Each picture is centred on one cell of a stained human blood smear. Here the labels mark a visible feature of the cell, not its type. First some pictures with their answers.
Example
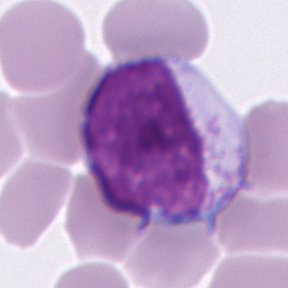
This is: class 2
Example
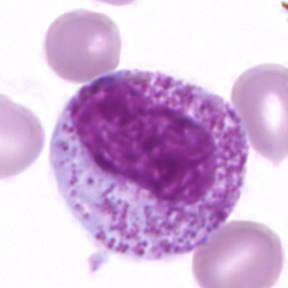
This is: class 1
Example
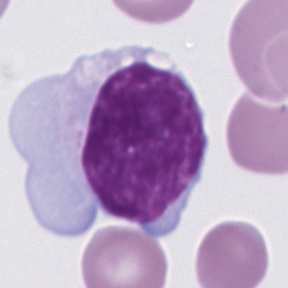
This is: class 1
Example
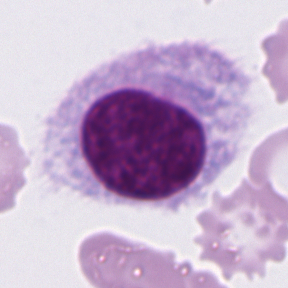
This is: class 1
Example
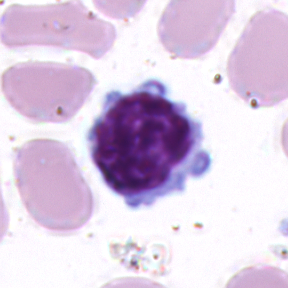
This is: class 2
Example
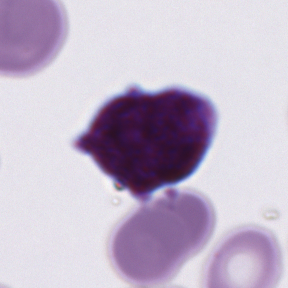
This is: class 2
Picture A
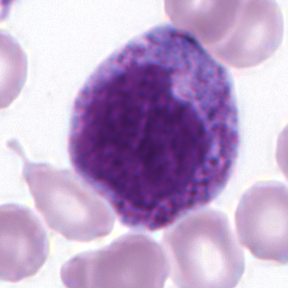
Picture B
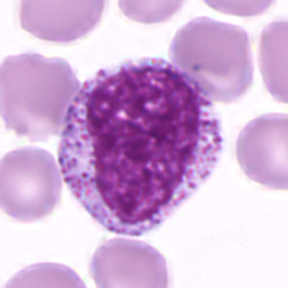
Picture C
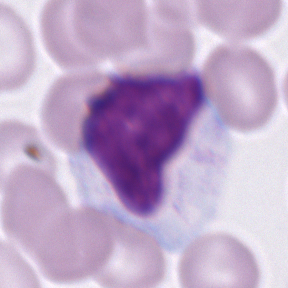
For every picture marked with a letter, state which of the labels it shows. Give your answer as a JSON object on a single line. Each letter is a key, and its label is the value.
{"A": "class 2", "B": "class 2", "C": "class 1"}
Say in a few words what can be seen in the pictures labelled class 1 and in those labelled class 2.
In class 1: abundant cytoplasm. In class 2: scant cytoplasm.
